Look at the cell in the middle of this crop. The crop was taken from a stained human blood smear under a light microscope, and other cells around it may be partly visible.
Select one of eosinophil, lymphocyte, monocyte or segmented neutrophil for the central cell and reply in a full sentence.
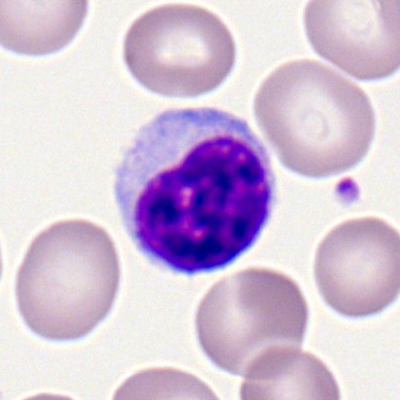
The crop's centre is taken up by a lymphocyte.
